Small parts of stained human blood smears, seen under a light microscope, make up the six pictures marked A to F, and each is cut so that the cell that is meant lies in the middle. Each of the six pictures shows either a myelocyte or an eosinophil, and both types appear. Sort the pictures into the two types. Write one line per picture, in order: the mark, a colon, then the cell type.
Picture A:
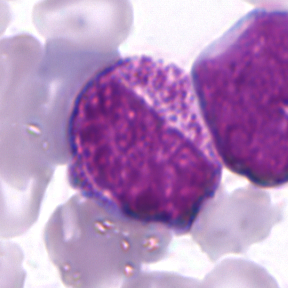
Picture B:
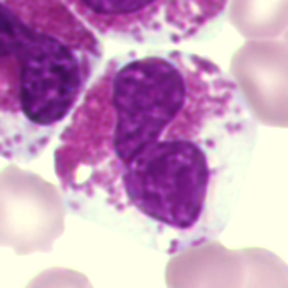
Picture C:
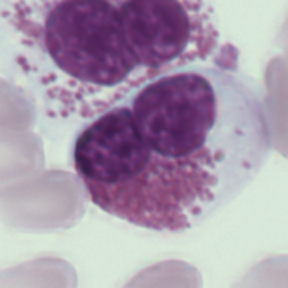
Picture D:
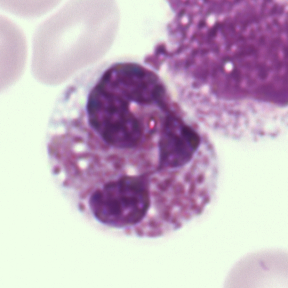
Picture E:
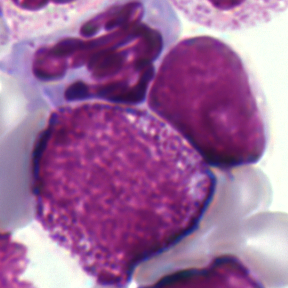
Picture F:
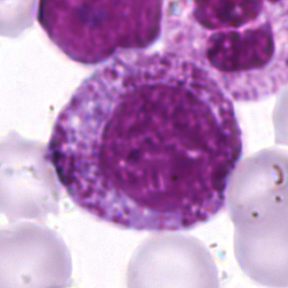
A: myelocyte
B: eosinophil
C: eosinophil
D: eosinophil
E: myelocyte
F: myelocyte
